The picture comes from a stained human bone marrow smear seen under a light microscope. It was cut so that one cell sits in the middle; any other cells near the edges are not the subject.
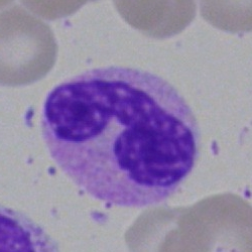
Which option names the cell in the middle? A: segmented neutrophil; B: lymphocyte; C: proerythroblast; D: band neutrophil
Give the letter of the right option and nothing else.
A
